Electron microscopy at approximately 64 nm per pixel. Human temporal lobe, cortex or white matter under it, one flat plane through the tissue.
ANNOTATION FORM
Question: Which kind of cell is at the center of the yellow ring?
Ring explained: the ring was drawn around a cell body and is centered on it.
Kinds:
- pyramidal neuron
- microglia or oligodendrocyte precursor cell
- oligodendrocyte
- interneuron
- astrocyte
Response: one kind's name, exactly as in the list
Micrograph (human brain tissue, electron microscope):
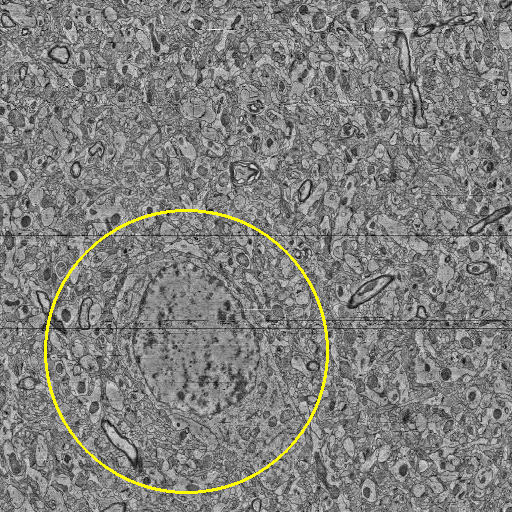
interneuron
